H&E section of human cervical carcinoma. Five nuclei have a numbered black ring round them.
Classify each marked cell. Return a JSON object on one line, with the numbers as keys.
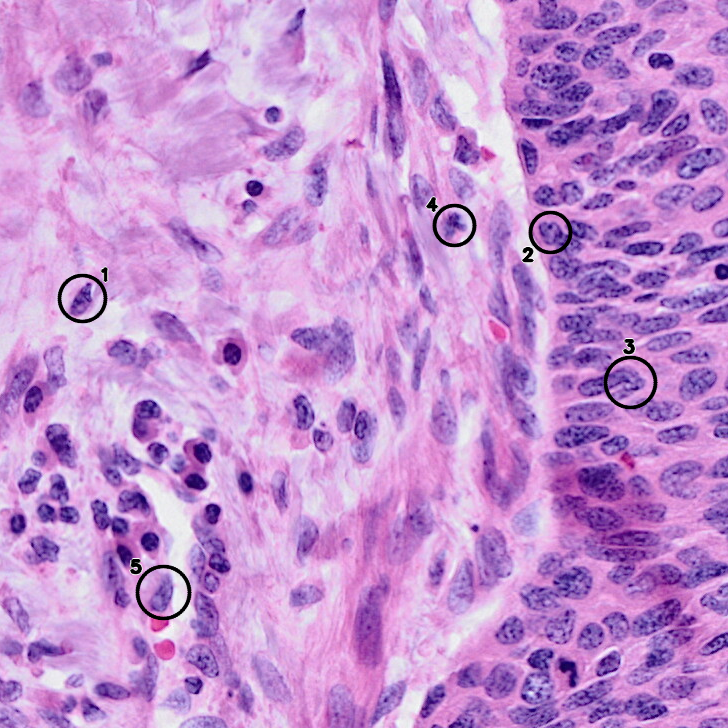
{"1": "lymphocyte", "2": "squamous carcinoma cell", "3": "squamous carcinoma cell", "4": "lymphocyte", "5": "endothelial cell"}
